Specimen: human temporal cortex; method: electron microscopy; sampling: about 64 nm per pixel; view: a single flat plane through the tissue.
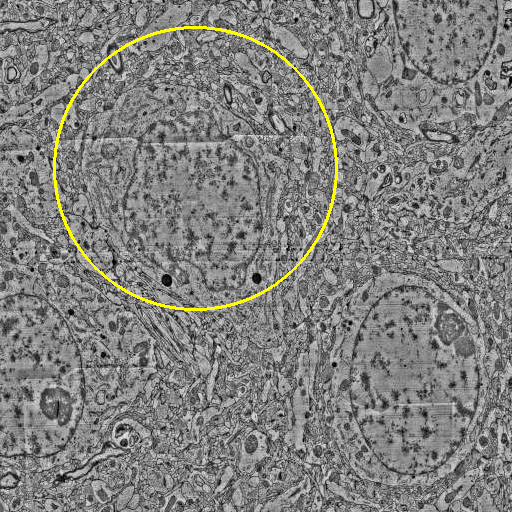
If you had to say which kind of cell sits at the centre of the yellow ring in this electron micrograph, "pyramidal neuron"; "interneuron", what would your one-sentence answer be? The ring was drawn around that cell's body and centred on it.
The cell sitting at the centre of the ring is an interneuron.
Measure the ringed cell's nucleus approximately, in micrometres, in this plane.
The nucleus has a long axis of about 11 micrometres and a short axis of about 9 micrometres in this plane.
